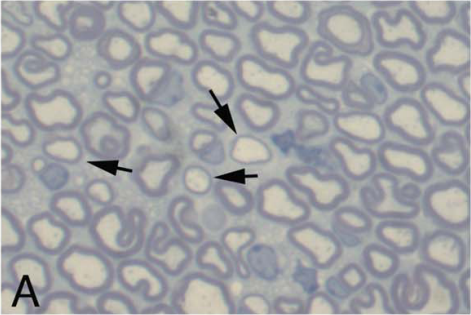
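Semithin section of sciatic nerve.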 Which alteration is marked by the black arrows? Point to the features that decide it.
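The marked axons have large pale cores surrounded by a very thin dark ring. Neighbouring fibers of similar size have much thicker dark rings. So: fibers with thin myelin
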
